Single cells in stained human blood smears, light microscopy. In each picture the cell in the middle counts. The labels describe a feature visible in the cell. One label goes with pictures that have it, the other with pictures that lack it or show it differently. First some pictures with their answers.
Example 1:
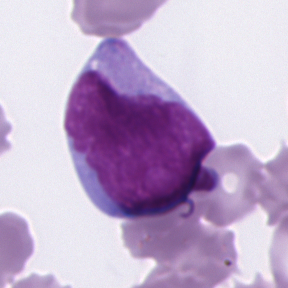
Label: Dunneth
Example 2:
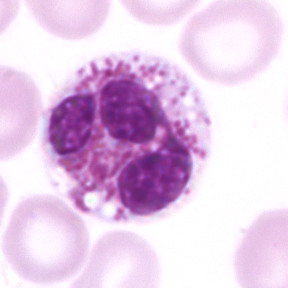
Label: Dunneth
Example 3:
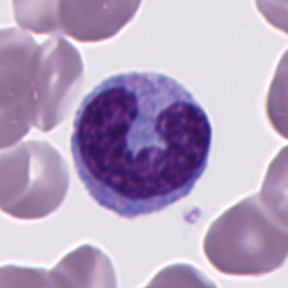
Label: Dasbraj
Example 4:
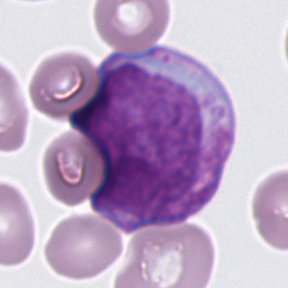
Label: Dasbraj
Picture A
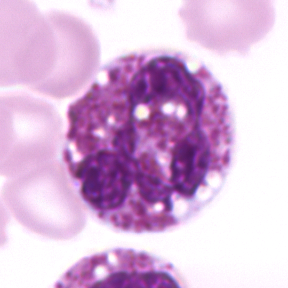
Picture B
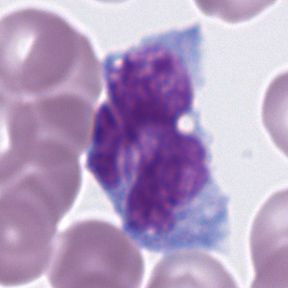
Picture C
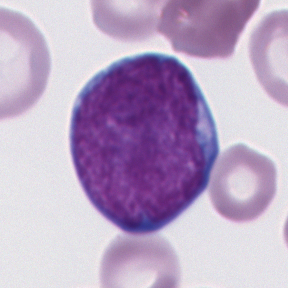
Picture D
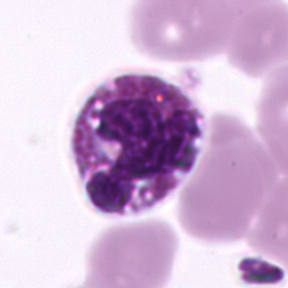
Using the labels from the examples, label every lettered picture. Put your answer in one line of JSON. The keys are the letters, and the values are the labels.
{"A": "Dunneth", "B": "Dunneth", "C": "Dasbraj", "D": "Dunneth"}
